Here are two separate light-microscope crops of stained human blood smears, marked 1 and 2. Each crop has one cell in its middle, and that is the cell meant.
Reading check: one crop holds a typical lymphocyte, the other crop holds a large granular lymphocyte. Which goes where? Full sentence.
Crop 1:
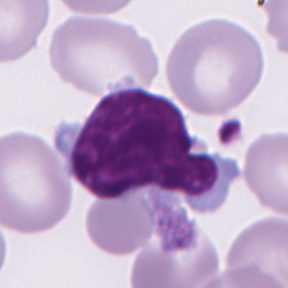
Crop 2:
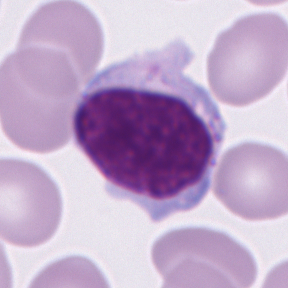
The designated cell in crop 1 is a typical lymphocyte, and the designated cell in crop 2 is a large granular lymphocyte.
